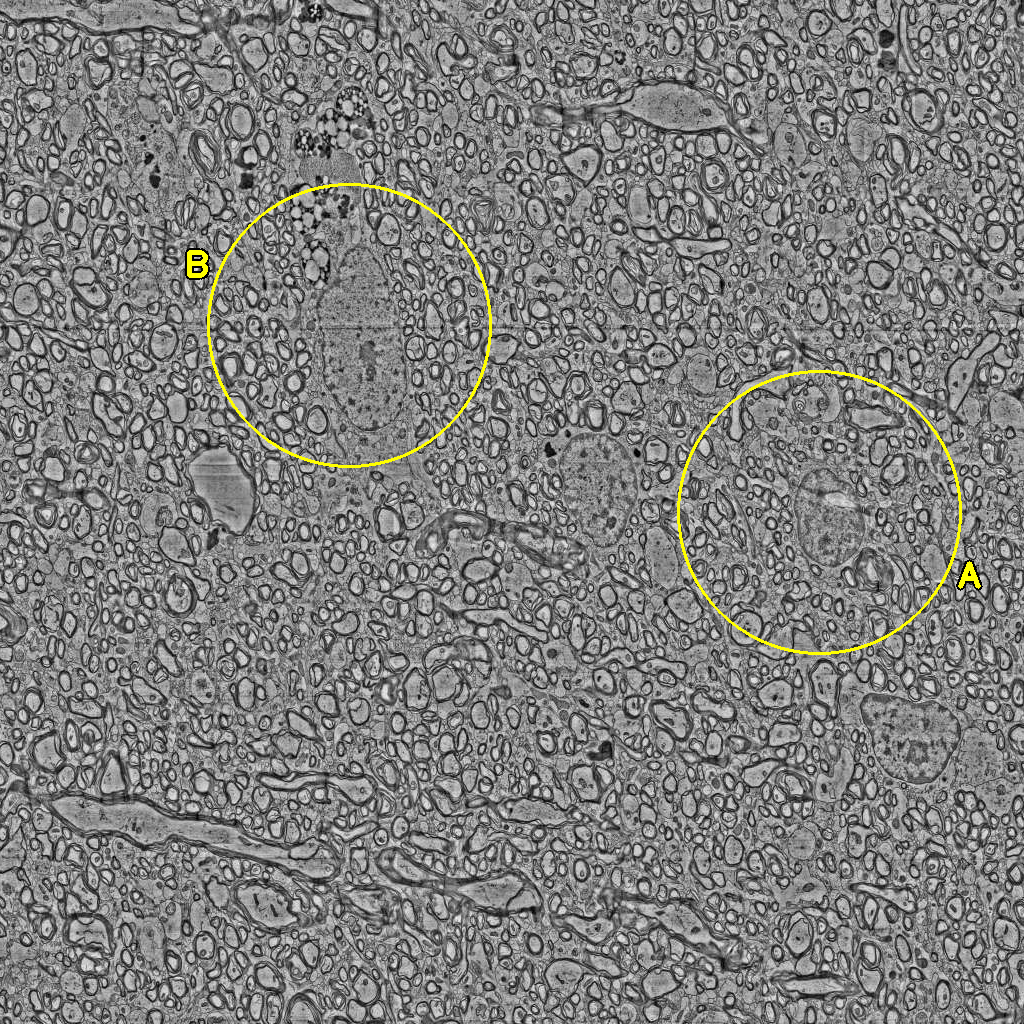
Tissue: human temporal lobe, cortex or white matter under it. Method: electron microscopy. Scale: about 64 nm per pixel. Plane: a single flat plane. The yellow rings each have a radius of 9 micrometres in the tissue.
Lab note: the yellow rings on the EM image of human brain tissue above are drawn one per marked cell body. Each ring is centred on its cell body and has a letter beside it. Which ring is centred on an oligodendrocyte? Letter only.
A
